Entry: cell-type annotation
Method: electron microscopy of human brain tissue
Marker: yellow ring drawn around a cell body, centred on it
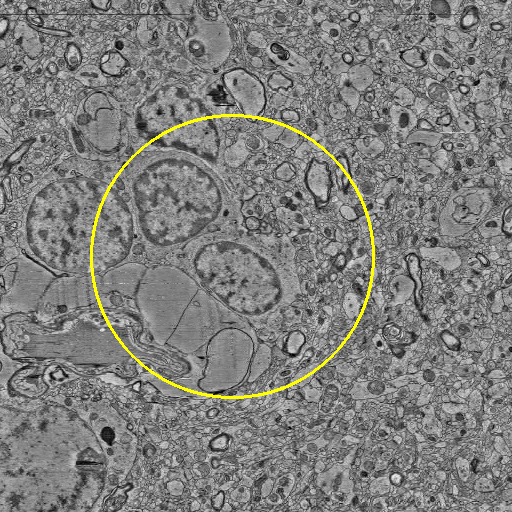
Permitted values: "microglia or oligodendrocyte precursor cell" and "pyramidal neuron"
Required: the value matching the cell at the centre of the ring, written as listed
microglia or oligodendrocyte precursor cell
